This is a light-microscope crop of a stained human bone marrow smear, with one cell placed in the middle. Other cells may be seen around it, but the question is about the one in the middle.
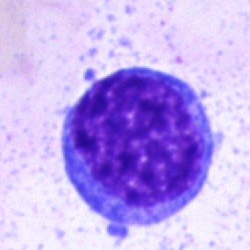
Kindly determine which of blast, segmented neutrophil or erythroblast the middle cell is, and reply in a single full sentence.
The crop's centre is taken up by a blast.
